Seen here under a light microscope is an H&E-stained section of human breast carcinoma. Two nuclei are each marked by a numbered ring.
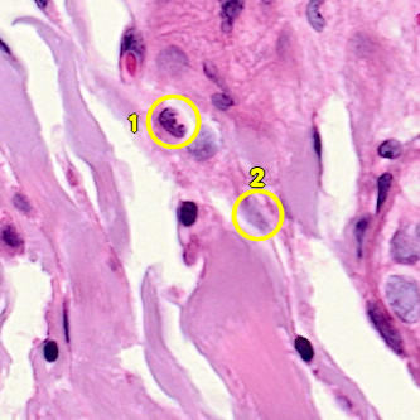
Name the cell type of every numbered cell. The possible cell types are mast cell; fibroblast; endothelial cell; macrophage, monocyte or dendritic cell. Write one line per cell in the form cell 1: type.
cell 1: macrophage, monocyte or dendritic cell
cell 2: fibroblast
